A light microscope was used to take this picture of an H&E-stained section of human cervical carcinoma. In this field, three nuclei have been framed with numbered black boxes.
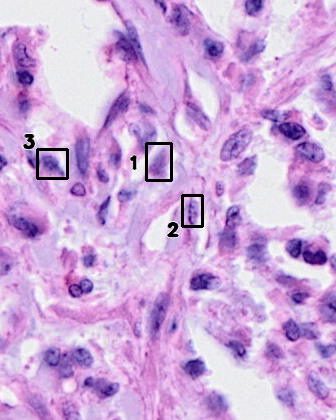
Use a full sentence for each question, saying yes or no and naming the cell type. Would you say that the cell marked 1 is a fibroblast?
Yes, cell 1 among the marked cells is a fibroblast.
